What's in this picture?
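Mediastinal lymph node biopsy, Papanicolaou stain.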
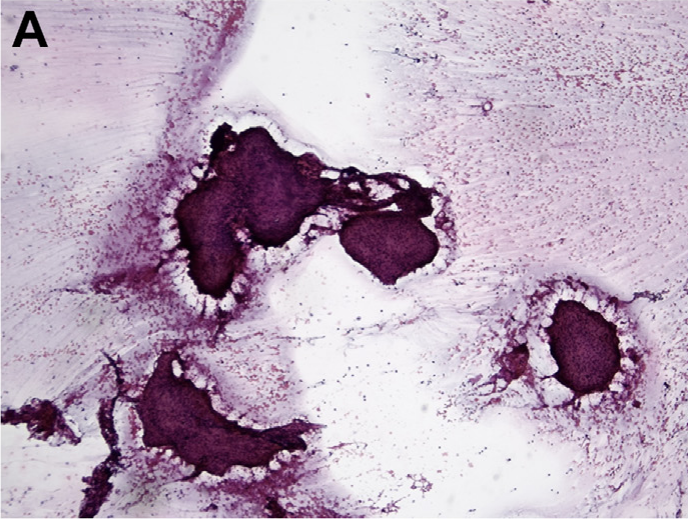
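Four to five compact, dark purple cell aggregates of rounded, lobulated and crescent shapes are spread across the field, each with a crisp outline and a pale retraction halo fringed by fine purple strands. Between them the background is pale, streaked, and sprinkled with small dispersed cells.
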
